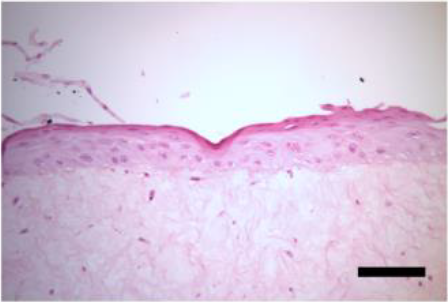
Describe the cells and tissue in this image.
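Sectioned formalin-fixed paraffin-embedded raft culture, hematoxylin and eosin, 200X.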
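The epithelium is a few cell layers thick, its cells with small purple nuclei and pink cytoplasm, and its upper surface is more deeply pink where cells flatten. A small notch dips into the surface near the middle. The dermal layer below is sparse in cells, with scattered small nuclei in a wavy meshwork of fibres. A few loose strands of detached material float above the surface.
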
